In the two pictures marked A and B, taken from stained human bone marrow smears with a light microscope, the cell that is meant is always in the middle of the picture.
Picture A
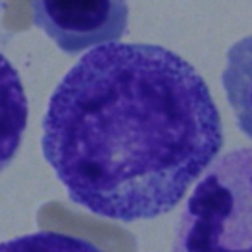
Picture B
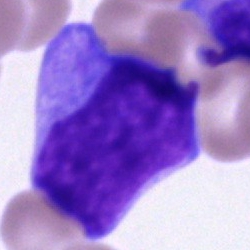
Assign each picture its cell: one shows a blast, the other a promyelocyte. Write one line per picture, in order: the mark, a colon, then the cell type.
A: promyelocyte
B: blast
